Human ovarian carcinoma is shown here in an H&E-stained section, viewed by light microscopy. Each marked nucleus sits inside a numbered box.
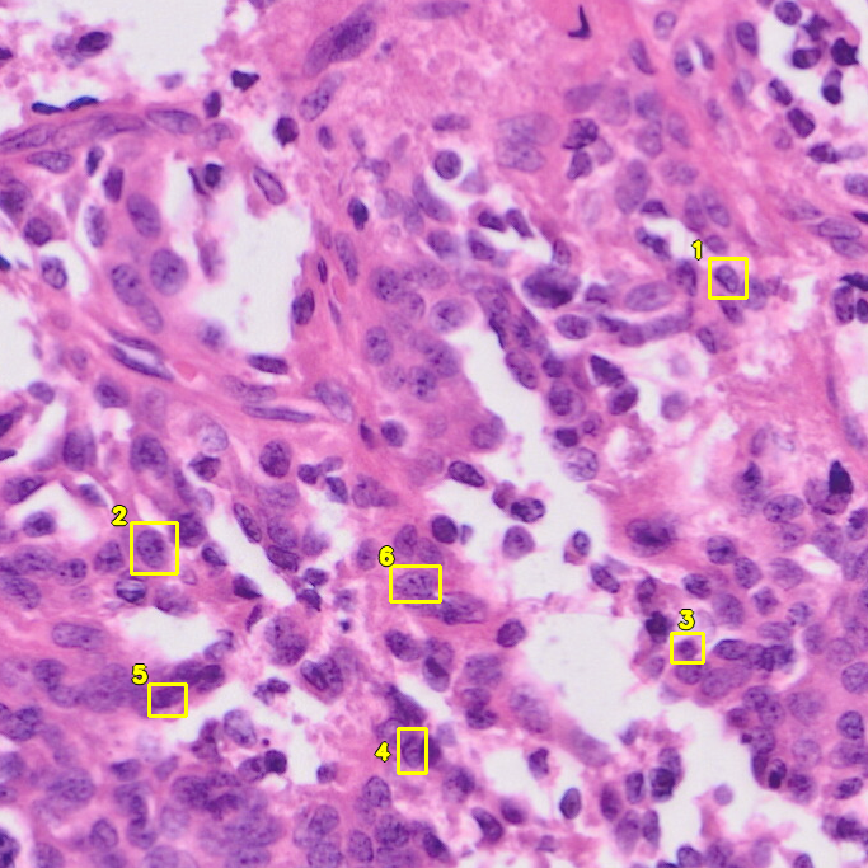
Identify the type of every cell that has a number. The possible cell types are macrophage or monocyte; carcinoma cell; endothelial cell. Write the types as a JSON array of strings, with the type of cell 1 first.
["macrophage or monocyte", "carcinoma cell", "carcinoma cell", "carcinoma cell", "carcinoma cell", "endothelial cell"]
